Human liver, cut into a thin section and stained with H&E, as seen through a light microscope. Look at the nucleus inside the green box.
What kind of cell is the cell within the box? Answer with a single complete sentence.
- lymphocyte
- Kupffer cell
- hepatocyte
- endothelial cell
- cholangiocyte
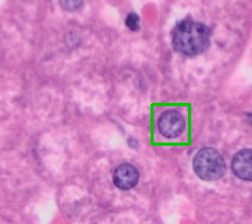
In this tissue sample, the cell within the box is a hepatocyte.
